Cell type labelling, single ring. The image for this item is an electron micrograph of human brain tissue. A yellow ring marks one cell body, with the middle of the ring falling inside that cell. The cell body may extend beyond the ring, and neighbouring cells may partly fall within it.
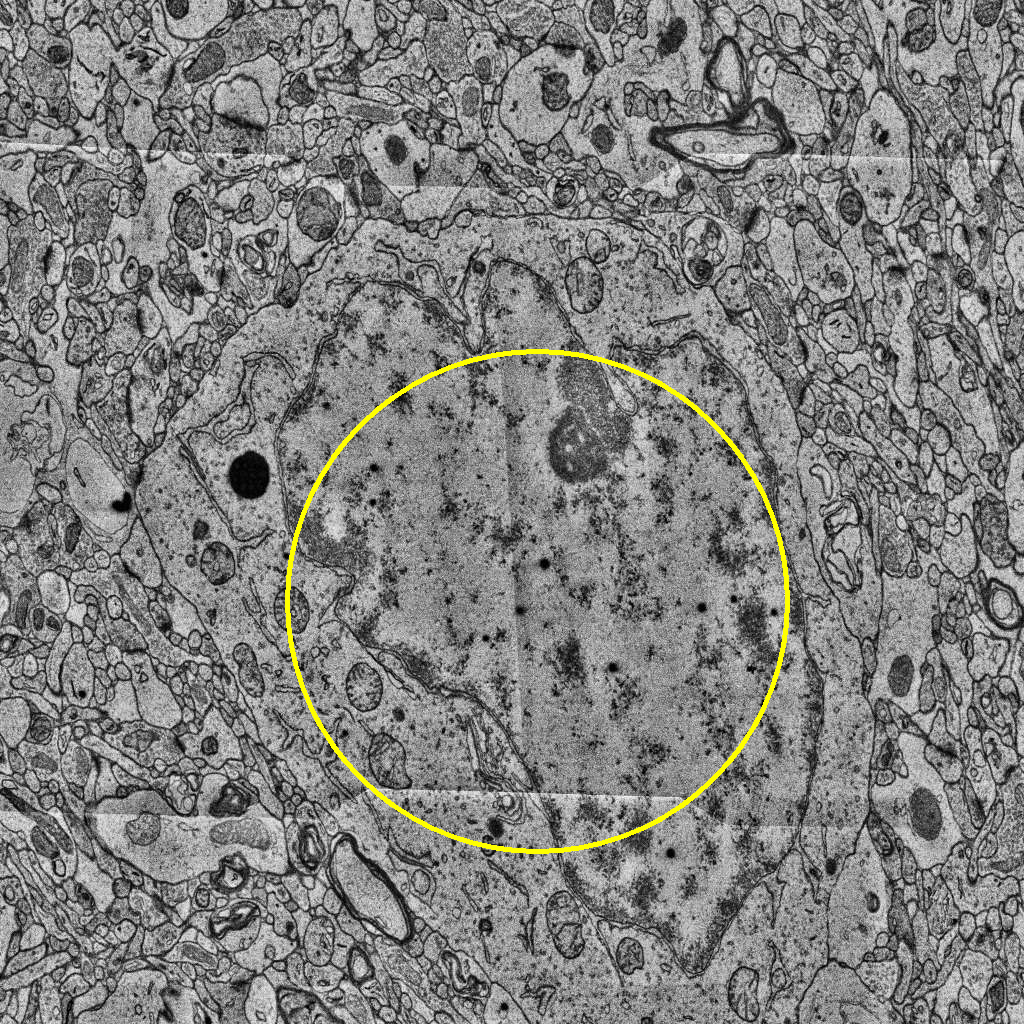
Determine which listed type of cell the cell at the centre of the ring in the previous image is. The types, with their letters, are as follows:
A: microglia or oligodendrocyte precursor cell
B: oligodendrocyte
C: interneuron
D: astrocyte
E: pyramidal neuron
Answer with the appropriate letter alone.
C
